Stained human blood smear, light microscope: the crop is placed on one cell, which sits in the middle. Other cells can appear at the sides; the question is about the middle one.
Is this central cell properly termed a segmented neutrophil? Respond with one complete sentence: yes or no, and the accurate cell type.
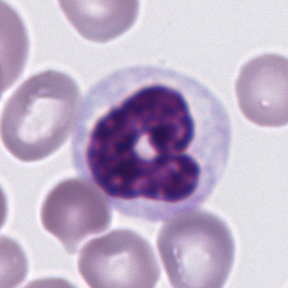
No, the central cell is identified not as a segmented neutrophil but as a band neutrophil.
